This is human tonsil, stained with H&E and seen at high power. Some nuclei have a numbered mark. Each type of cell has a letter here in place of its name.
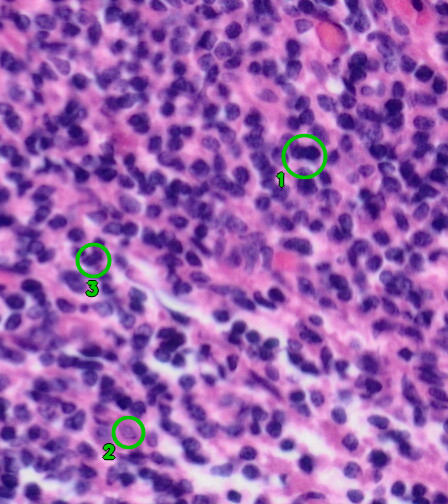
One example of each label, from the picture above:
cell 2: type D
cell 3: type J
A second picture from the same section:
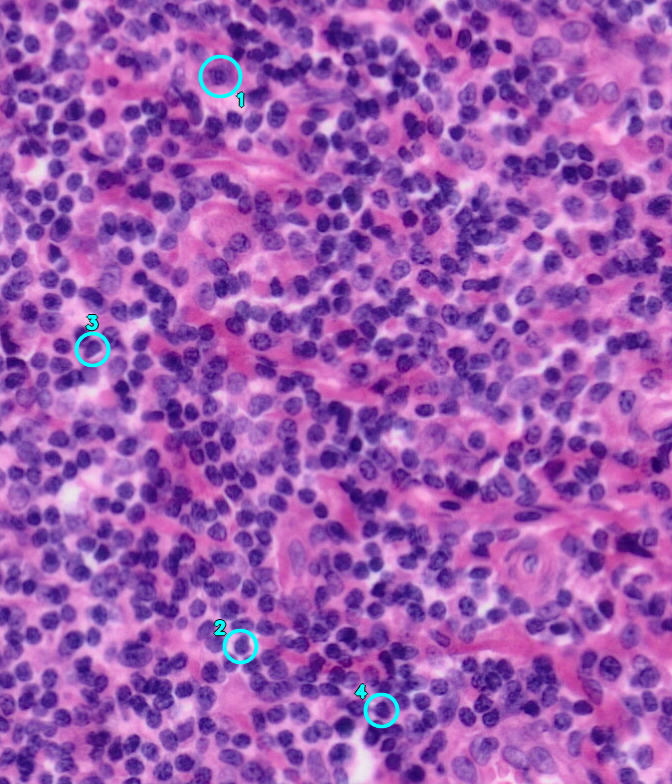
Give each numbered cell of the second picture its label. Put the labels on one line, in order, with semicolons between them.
type D; type J; type J; type J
